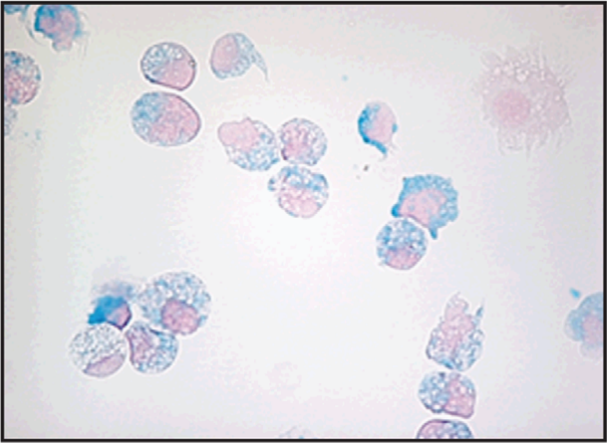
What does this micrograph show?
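Much of each cell is taken up by cytoplasm that appears coarse and granular, with blue-stained granules set against paler spaces, which gives it a bubbly look. The nucleus stains pink-red and often lies eccentrically at one side of the cell. In a few cells the blue material gathers densely at one pole. Near one edge lies a larger, pale pink cell with a spiky outline that does not share this blue granular pattern.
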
